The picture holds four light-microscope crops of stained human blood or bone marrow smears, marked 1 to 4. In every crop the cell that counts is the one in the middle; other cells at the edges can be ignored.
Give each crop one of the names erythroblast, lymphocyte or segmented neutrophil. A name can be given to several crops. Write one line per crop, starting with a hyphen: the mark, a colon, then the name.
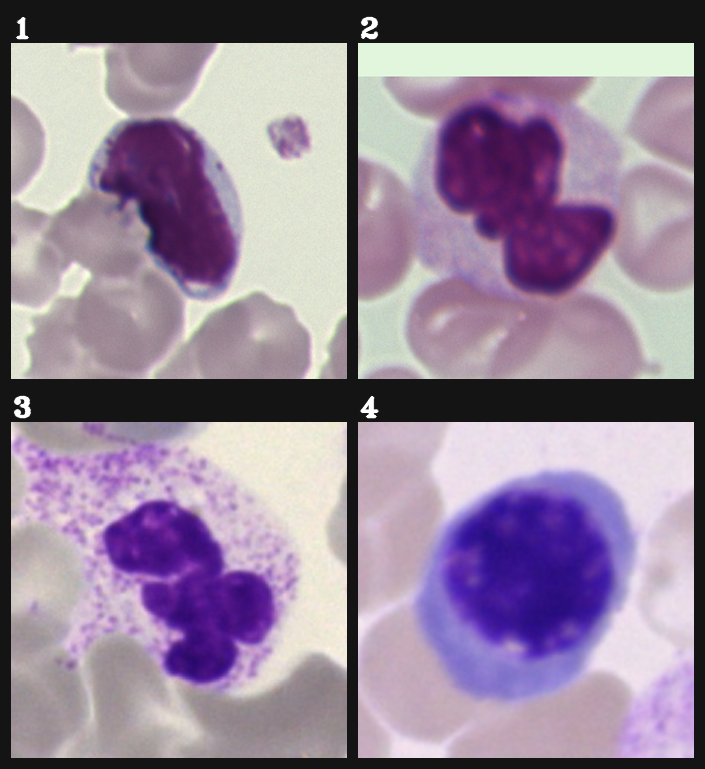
- 1: lymphocyte
- 2: segmented neutrophil
- 3: segmented neutrophil
- 4: erythroblast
